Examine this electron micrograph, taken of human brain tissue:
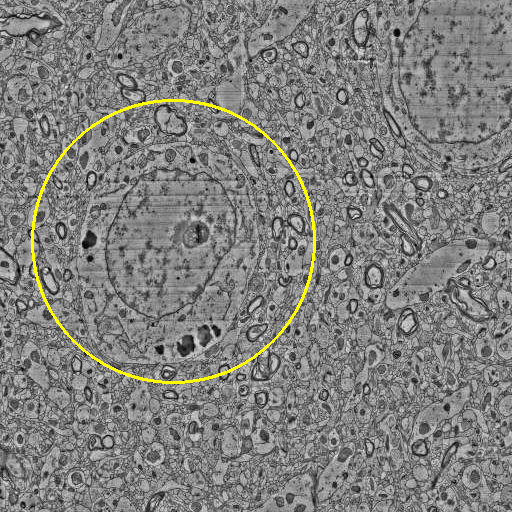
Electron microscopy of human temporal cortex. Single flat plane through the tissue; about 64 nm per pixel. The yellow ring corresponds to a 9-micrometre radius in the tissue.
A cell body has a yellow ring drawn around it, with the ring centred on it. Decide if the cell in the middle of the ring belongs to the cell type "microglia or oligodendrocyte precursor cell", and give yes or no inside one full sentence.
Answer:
No, the cell at the centre of the yellow ring in this picture is of a different type.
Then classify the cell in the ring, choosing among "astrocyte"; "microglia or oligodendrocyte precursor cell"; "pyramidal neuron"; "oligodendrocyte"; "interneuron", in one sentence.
The answer is that the ringed cell is a pyramidal neuron.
